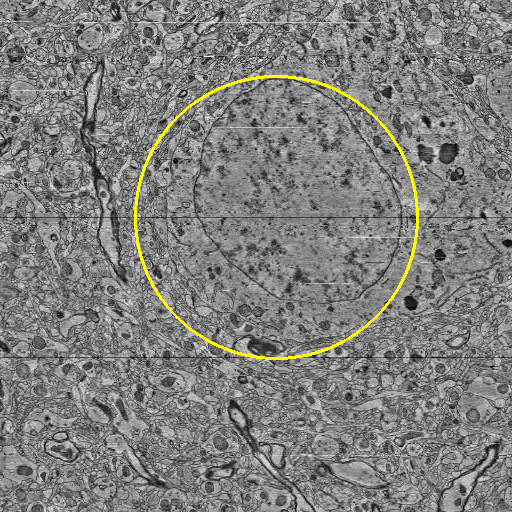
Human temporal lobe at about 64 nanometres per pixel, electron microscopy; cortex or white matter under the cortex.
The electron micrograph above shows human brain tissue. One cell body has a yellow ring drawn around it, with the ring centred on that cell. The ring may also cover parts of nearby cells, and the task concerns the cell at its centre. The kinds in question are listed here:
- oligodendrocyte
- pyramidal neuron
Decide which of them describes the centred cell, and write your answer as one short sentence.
The centred cell is a pyramidal neuron.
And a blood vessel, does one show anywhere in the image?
No.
